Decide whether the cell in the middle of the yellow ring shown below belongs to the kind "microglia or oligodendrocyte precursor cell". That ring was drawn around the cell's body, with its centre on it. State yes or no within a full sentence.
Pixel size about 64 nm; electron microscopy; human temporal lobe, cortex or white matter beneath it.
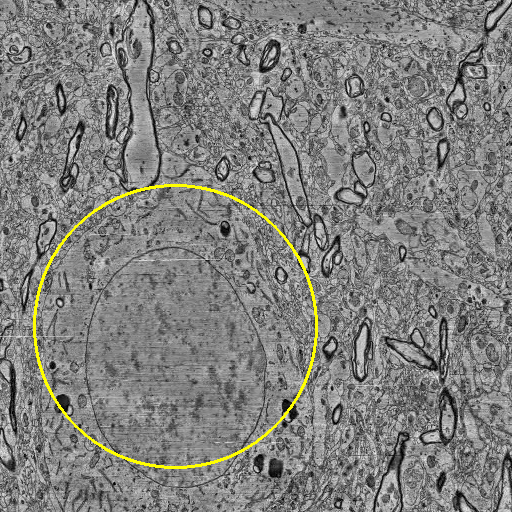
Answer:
No, the cell whose body lies at the ring's centre in the picture belongs to a different kind.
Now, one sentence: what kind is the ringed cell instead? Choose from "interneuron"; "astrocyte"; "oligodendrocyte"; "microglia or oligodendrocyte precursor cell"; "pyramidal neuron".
The cell marked by the ring is a pyramidal neuron.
